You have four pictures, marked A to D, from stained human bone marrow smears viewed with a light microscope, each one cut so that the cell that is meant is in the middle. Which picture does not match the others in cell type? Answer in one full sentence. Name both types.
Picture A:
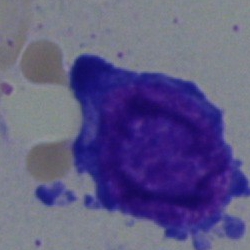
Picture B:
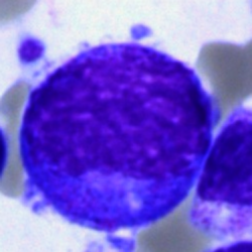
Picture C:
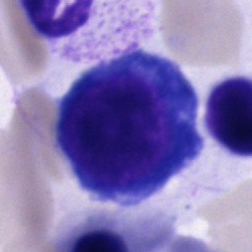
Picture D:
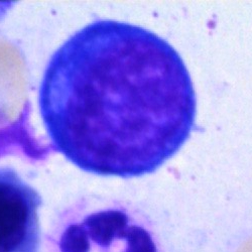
The others show proerythroblasts, but picture B shows a promyelocyte.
